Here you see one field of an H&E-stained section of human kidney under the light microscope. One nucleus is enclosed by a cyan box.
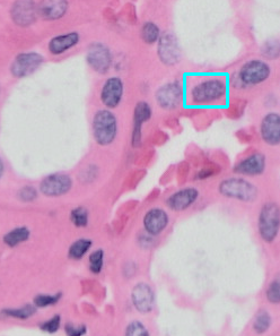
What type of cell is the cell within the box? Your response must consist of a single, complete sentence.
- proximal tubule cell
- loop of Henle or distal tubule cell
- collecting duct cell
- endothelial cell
Within the stained tissue, the cell within the box is a collecting duct cell.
